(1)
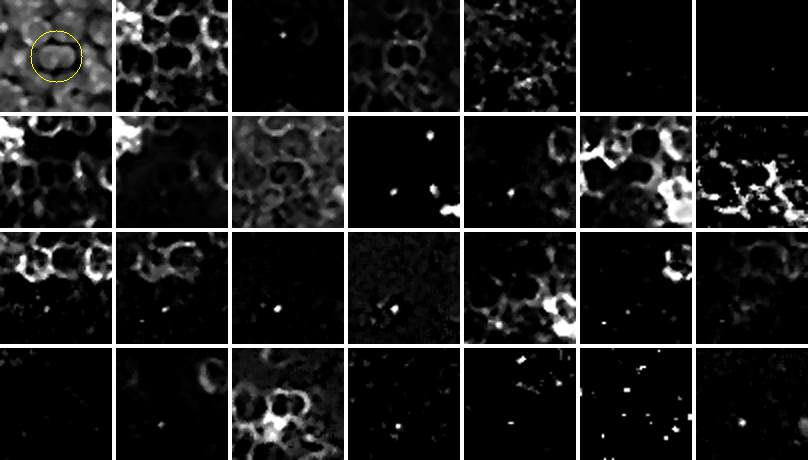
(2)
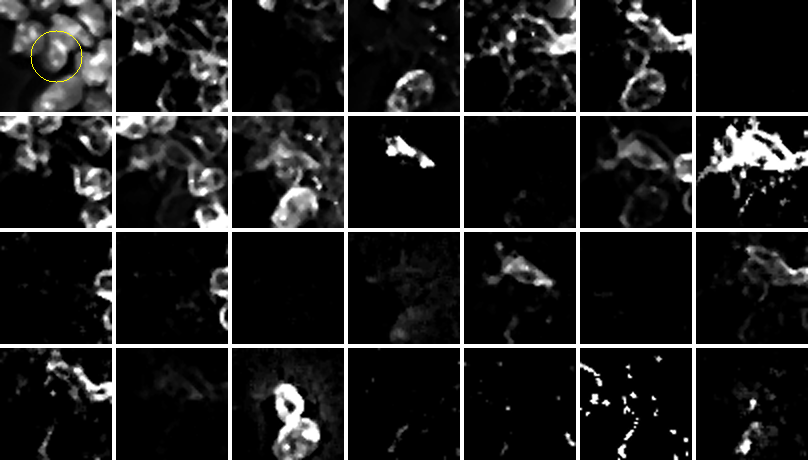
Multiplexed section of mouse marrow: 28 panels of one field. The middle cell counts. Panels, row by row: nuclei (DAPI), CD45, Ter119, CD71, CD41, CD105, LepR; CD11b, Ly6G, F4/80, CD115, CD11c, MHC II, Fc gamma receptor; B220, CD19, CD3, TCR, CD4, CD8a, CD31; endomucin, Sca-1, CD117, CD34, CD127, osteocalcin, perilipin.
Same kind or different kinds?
Same: granulocyte-monocyte progenitors.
